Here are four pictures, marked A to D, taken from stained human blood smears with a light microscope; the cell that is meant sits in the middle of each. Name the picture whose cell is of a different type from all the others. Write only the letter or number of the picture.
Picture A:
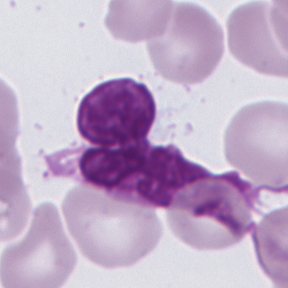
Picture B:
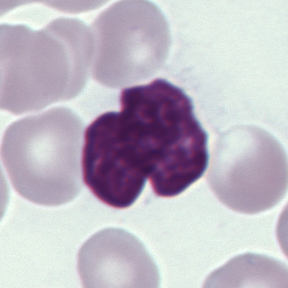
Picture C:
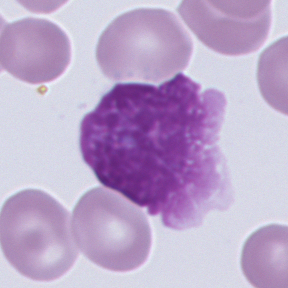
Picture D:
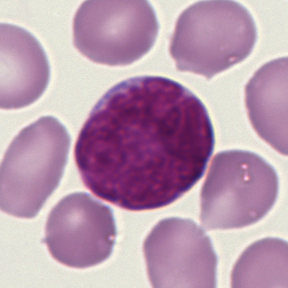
D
